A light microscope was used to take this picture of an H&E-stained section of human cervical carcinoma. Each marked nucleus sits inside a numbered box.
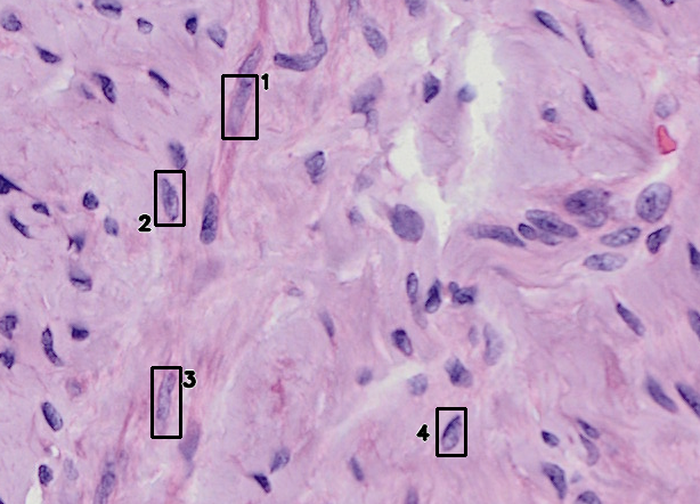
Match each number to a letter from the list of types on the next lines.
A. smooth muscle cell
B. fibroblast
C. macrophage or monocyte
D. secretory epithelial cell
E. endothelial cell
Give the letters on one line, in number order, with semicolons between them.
A; B; A; B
